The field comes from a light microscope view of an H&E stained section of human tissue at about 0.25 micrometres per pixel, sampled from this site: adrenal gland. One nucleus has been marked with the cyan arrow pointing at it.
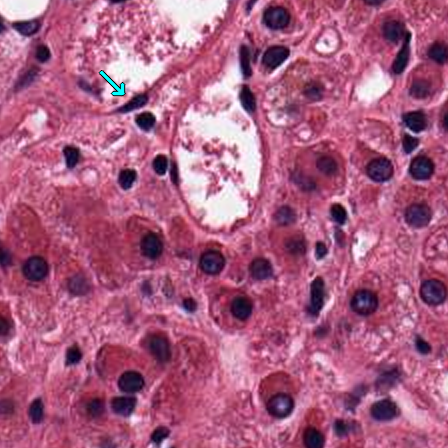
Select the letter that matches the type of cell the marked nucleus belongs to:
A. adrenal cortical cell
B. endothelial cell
B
